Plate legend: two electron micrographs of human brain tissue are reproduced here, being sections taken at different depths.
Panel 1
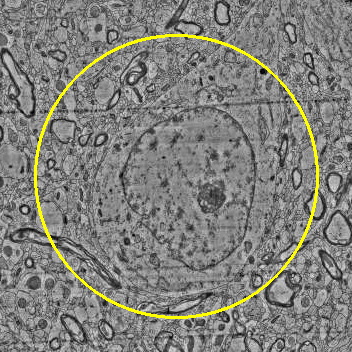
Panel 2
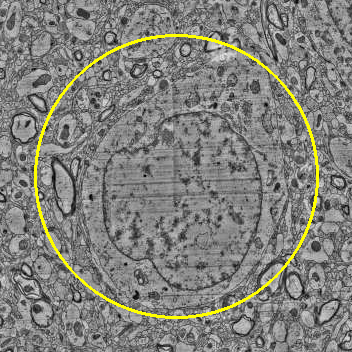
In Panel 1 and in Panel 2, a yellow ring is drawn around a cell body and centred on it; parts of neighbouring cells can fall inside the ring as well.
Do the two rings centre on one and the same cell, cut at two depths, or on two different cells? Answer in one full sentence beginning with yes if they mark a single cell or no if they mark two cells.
Yes, the cell marked in each ring is one and the same.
